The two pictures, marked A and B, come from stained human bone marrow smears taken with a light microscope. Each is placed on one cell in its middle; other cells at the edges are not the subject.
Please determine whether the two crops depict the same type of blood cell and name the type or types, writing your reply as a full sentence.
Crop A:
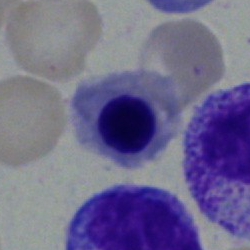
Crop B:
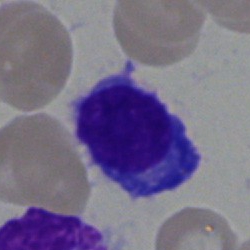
No, a normoblast is the subject of crop A, and a plasma cell is the subject of crop B.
